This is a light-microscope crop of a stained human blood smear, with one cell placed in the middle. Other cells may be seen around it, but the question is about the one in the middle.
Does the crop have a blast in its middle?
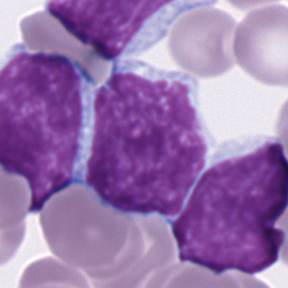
no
